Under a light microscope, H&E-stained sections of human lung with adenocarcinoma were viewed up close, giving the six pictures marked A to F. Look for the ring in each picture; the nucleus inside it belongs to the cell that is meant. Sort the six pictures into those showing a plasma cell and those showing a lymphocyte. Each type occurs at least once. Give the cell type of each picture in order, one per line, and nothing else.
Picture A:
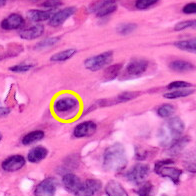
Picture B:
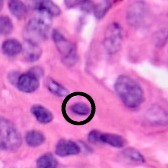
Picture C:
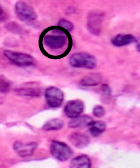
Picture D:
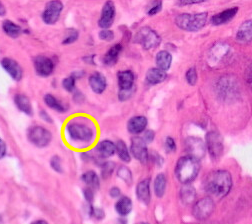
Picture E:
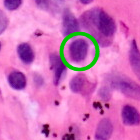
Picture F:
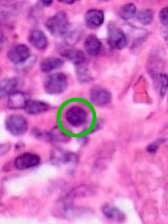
plasma cell
lymphocyte
plasma cell
lymphocyte
lymphocyte
plasma cell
